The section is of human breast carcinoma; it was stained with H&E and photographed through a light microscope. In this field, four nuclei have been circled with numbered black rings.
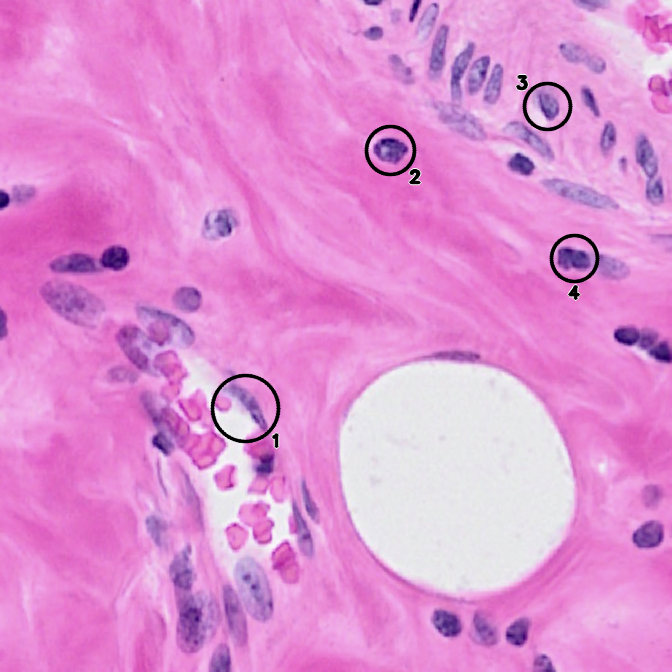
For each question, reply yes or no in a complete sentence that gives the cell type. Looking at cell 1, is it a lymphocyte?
No, the cell at number 1 is an endothelial cell instead of a lymphocyte.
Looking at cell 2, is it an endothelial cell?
No. Cell number 2 is a lymphocyte, not an endothelial cell.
